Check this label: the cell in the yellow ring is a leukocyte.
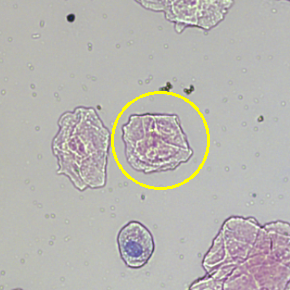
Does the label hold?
The label does not hold; the cell is a cornified epithelial cell.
